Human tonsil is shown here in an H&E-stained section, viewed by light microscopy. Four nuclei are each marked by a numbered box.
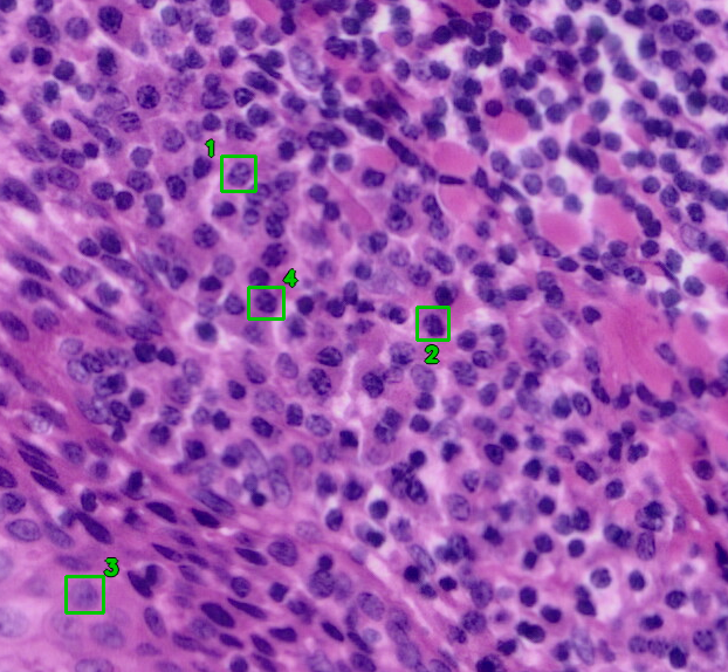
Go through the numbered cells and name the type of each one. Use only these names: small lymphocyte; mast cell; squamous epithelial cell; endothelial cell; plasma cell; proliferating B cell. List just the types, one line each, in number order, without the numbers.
plasma cell
plasma cell
squamous epithelial cell
plasma cell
